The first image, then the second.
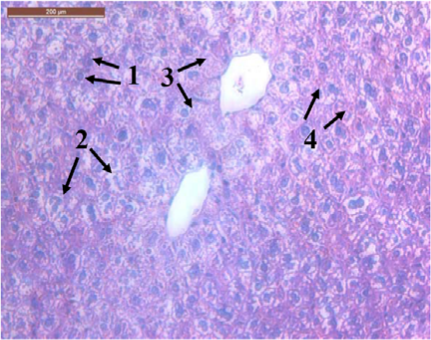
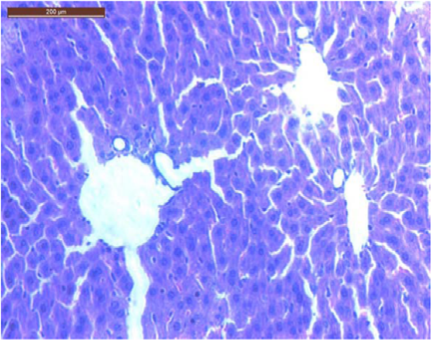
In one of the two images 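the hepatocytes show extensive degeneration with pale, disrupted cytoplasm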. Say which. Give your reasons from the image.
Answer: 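Second image: hepatocytes have even purple cytoplasm and form orderly cords radiating from the veins. First image: hepatocytes have pale, cleared cytoplasm, cords are hard to make out and the background is pinker.
Answer: the first image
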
